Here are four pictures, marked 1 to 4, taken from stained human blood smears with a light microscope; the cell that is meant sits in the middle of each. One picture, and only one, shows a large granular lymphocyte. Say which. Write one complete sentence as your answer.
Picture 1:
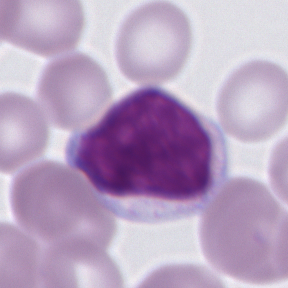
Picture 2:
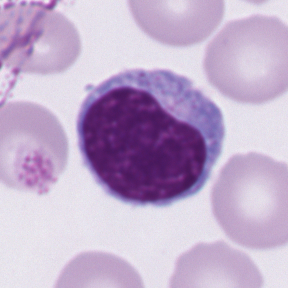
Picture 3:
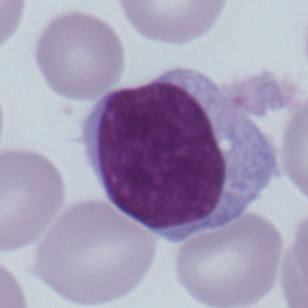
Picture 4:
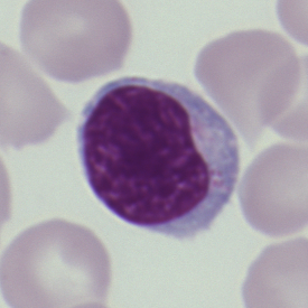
Picture 1 shows the large granular lymphocyte.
